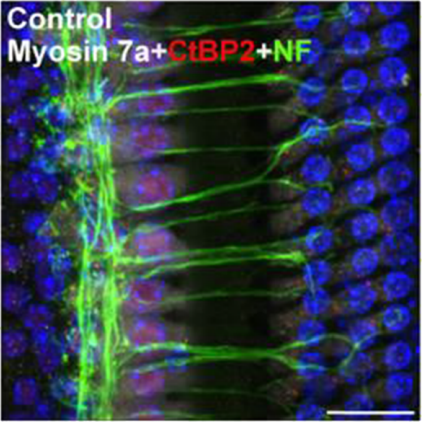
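This surface view of the sensory epithelium shows a column of hair cells with pinkish nuclei on the left, lying beside a dense vertical band of green nerve fibres. Many thin green fibres leave this band and run roughly parallel across a dark gap toward the rows of cells on the right. The cells on the right have round blue nuclei and form several ordered rows.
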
